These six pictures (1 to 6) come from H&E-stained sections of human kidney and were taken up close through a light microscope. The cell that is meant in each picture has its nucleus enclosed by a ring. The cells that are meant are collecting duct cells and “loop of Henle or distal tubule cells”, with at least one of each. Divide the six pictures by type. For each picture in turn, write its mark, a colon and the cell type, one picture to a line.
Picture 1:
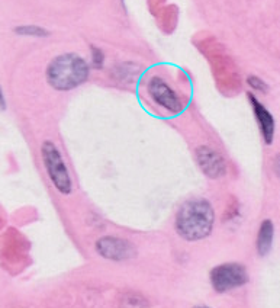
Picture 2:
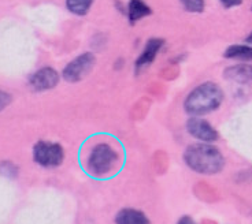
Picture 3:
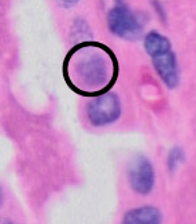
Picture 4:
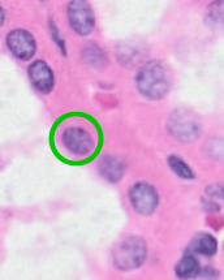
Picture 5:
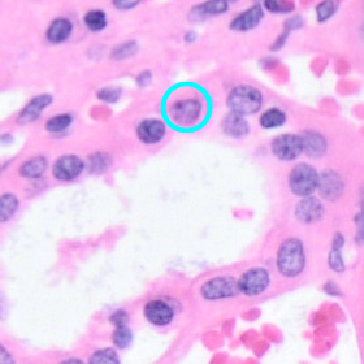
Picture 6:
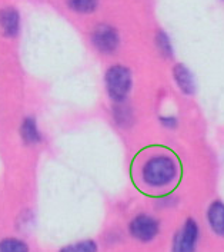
1: collecting duct cell
2: loop of Henle or distal tubule cell
3: collecting duct cell
4: loop of Henle or distal tubule cell
5: collecting duct cell
6: collecting duct cell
